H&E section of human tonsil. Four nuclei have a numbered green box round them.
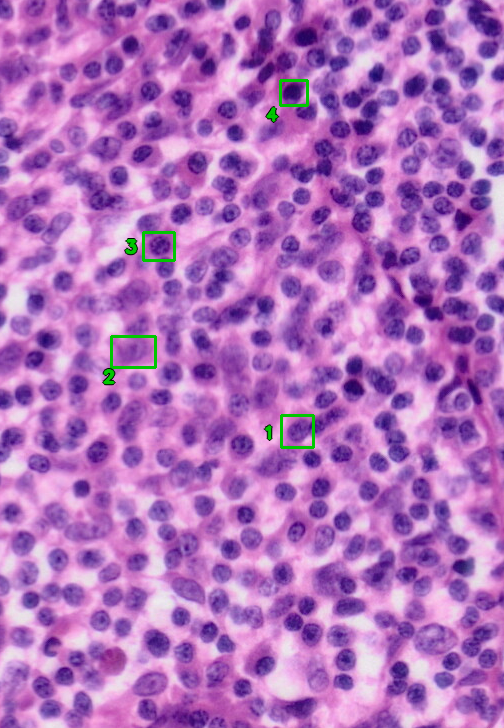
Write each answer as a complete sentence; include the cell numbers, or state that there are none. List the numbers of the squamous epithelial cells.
Cell 2 is a squamous epithelial cell; the remaining numbered cells are not.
